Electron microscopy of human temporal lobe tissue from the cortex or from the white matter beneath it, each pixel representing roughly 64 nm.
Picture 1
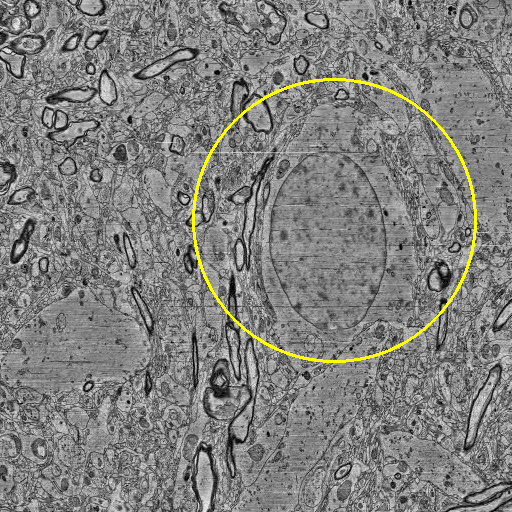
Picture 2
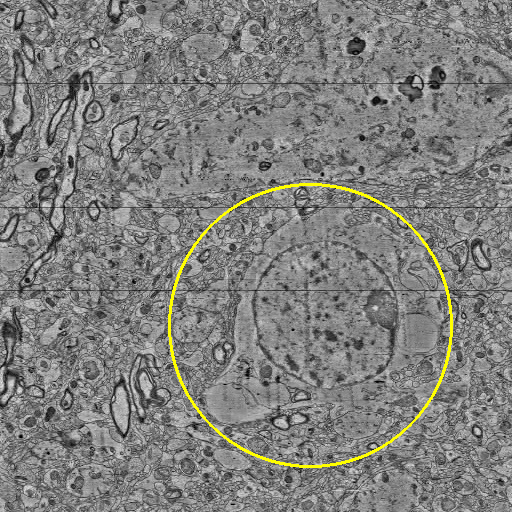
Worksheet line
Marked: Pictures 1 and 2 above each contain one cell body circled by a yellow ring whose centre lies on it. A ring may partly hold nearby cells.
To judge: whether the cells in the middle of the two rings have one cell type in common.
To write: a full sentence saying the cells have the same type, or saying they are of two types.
The cells in the middle of the rings in Picture 1 and Picture 2 have the same type.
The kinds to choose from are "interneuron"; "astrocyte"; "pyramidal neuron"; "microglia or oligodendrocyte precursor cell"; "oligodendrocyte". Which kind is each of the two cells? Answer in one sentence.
Each of the two rings is centred on an astrocyte.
